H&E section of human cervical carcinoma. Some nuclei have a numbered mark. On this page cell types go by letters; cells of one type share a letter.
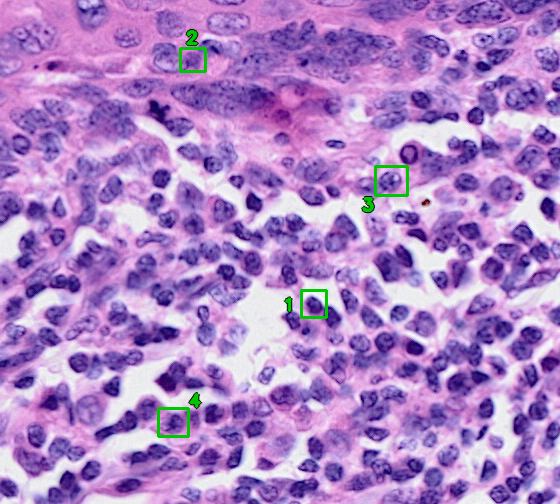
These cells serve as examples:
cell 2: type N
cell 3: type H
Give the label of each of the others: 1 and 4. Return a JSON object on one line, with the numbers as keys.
{"1": "type H", "4": "type H"}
